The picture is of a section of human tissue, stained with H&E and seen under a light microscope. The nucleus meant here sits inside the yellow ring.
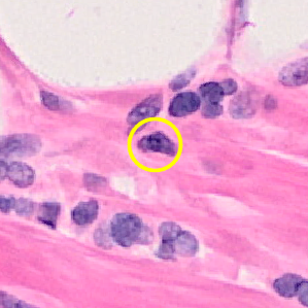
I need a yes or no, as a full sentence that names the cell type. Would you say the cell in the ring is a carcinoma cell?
No, kindly revise that, as the cell in the ring is a lymphocyte rather than a carcinoma cell.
